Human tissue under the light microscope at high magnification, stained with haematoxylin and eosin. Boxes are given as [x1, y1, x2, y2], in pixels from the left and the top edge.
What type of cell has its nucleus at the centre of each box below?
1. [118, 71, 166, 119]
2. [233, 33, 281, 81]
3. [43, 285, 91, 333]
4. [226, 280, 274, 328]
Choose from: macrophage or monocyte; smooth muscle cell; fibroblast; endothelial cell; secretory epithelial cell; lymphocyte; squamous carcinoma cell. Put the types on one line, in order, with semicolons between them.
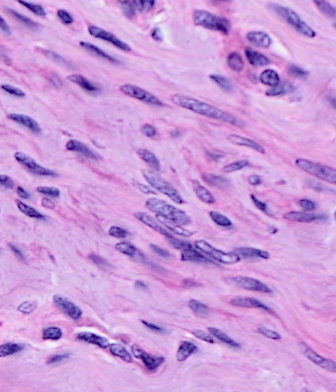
smooth muscle cell; endothelial cell; endothelial cell; smooth muscle cell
